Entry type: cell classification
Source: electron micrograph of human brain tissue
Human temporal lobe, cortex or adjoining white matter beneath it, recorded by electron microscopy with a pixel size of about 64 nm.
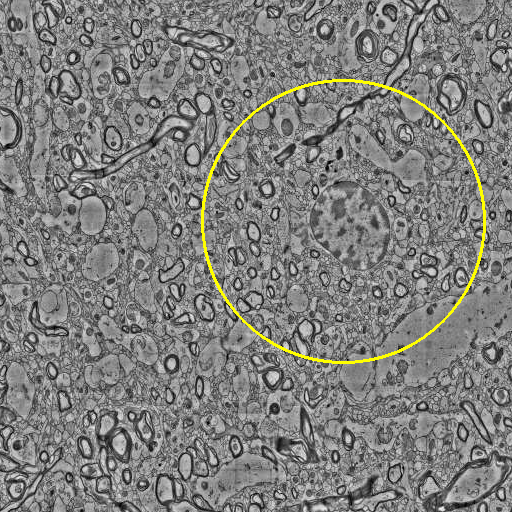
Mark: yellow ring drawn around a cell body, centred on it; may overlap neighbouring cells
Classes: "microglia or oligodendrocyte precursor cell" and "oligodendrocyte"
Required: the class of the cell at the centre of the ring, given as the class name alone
microglia or oligodendrocyte precursor cell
